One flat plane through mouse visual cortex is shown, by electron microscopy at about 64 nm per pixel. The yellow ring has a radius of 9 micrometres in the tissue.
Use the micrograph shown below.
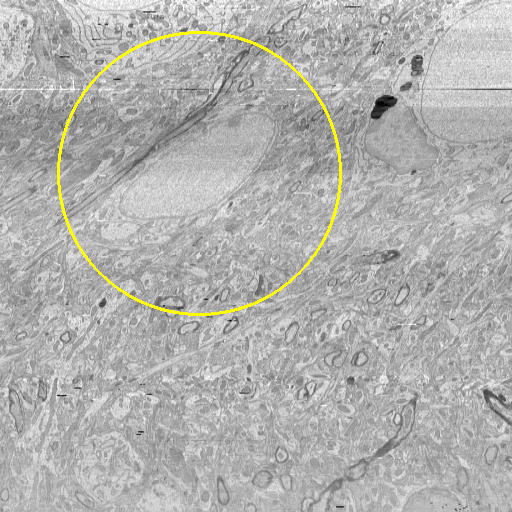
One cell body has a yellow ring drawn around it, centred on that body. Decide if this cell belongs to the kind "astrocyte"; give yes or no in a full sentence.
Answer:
Yes, the cell lying at the ring's centre in the micrograph is of the kind given.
